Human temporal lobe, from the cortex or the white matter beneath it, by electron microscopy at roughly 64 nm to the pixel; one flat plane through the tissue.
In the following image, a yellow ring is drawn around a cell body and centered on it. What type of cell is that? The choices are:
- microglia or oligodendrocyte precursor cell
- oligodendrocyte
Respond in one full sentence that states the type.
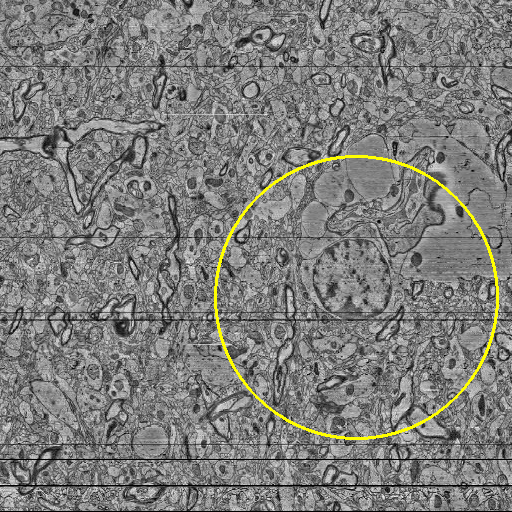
The cell at the center of the yellow ring in the image is a microglial cell or oligodendrocyte precursor cell.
